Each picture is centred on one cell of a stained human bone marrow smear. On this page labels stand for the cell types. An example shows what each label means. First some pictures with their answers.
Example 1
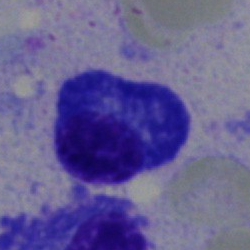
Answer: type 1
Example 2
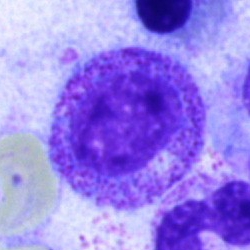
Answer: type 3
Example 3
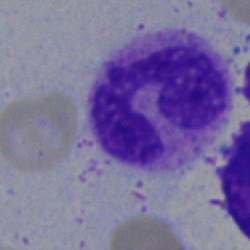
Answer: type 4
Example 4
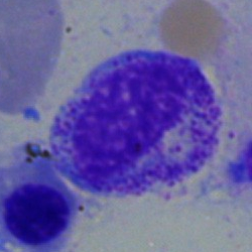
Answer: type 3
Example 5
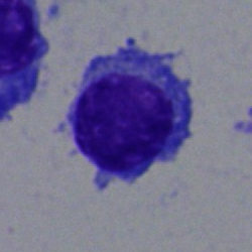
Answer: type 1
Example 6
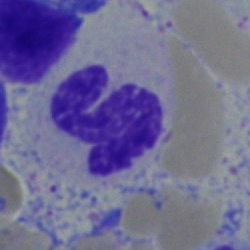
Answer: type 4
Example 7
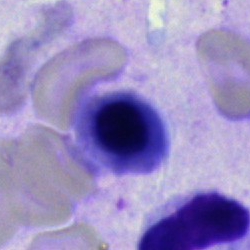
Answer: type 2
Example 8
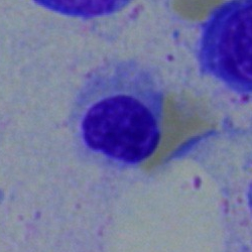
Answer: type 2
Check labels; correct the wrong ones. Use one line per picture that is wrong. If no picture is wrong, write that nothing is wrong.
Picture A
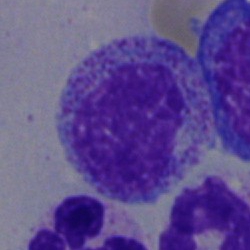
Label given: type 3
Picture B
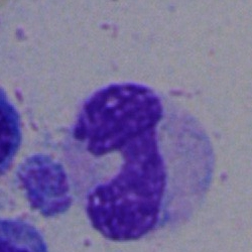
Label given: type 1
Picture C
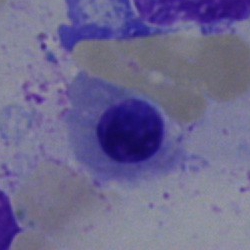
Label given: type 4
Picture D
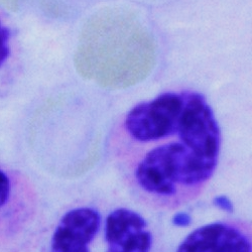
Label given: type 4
B should be type 4, not type 1
C should be type 2, not type 4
